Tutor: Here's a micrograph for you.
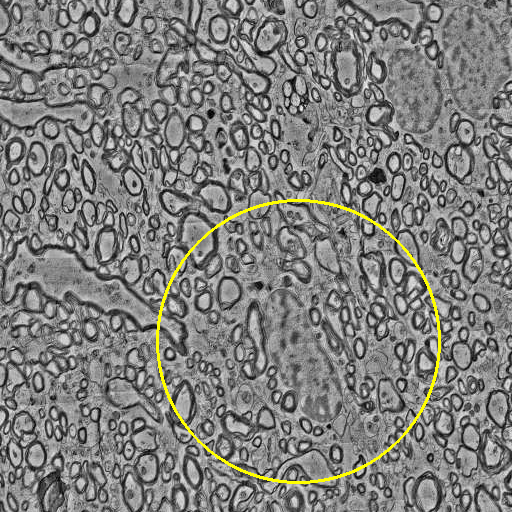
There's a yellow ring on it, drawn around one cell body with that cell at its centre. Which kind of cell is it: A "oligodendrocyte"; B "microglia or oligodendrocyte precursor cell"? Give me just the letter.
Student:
B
